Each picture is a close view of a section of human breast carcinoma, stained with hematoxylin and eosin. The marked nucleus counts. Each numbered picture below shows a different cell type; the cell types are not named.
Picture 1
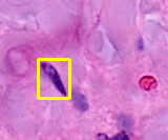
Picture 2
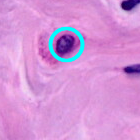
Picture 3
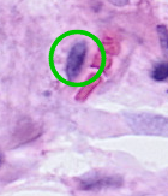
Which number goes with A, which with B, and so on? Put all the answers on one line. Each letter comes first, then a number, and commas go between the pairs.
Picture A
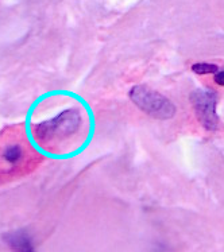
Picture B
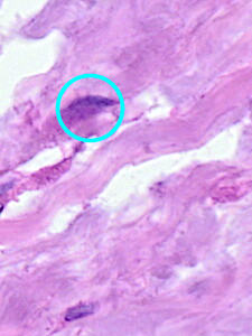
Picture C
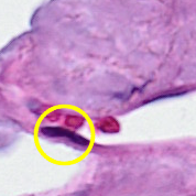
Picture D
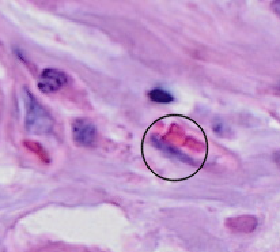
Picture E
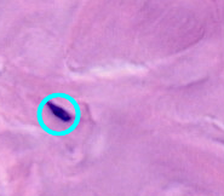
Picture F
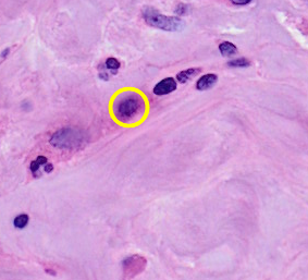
A 1, B 1, C 3, D 3, E 1, F 2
